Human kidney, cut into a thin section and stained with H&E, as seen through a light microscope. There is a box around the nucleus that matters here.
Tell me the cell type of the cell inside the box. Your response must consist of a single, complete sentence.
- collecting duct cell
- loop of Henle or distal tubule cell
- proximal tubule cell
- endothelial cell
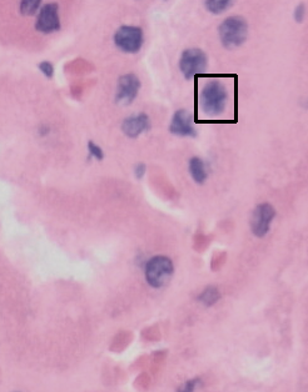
At the level of cell identity, the cell inside the box is a loop of Henle or distal tubule cell.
